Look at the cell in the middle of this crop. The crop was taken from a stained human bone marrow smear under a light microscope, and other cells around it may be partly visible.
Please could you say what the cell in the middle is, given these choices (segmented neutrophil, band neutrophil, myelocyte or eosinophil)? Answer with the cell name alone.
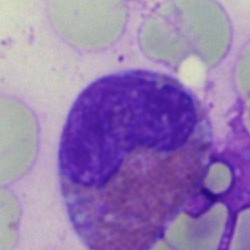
eosinophil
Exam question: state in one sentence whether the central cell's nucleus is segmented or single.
There is one compact nucleus, and its shape is round, oval or kidney-like.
